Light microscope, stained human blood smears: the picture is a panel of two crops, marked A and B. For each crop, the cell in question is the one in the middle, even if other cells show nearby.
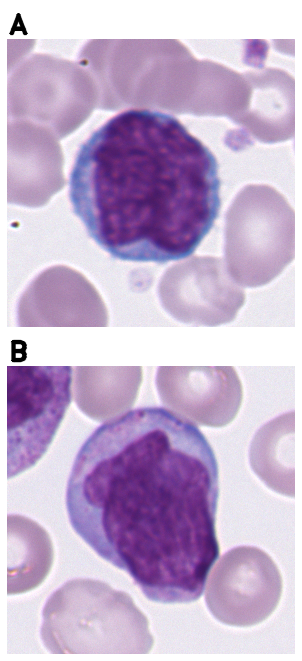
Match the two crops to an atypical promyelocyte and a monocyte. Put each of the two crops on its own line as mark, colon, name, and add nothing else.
A: monocyte
B: atypical promyelocyte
